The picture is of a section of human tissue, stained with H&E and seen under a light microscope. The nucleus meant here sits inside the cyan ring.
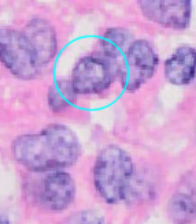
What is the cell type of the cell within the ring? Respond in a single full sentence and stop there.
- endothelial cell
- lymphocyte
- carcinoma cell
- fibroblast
The cell type of the cell within the ring is that of a carcinoma cell.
